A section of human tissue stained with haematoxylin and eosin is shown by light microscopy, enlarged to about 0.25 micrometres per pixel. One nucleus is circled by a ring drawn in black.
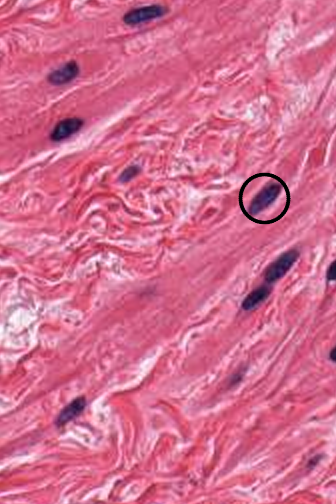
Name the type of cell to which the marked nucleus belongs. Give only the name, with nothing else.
smooth muscle cell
